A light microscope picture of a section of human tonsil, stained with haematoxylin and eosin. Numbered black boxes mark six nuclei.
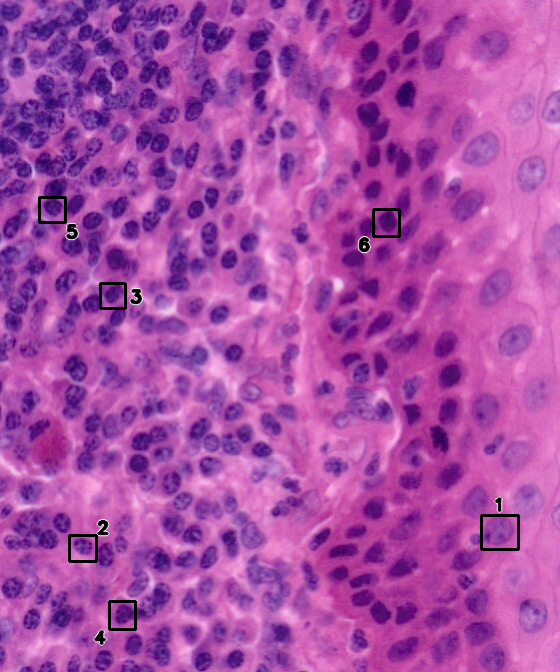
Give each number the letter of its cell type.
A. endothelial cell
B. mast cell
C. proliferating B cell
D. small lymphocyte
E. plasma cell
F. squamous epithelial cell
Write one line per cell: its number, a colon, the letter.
1: F
2: E
3: E
4: E
5: E
6: F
